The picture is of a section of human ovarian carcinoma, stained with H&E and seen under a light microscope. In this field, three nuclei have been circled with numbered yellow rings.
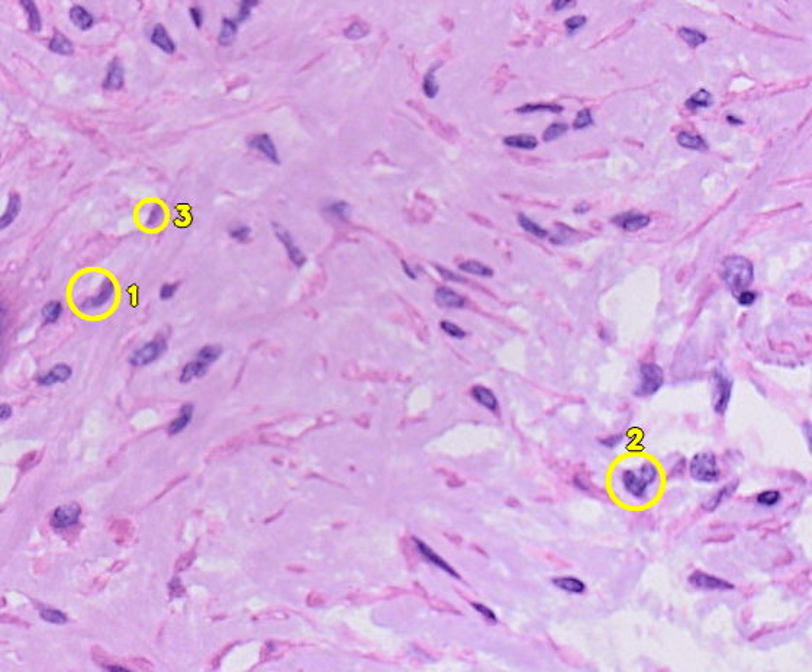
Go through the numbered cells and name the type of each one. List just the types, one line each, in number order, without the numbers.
fibroblast
macrophage or monocyte
fibroblast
